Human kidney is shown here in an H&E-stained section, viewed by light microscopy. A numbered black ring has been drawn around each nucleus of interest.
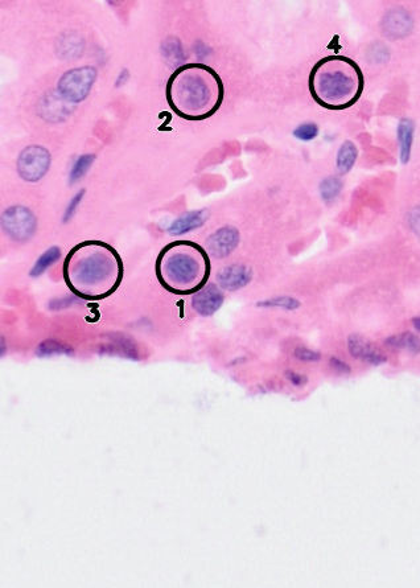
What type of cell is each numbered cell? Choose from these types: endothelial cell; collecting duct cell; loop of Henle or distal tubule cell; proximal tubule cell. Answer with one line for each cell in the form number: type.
1: loop of Henle or distal tubule cell
2: proximal tubule cell
3: endothelial cell
4: proximal tubule cell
